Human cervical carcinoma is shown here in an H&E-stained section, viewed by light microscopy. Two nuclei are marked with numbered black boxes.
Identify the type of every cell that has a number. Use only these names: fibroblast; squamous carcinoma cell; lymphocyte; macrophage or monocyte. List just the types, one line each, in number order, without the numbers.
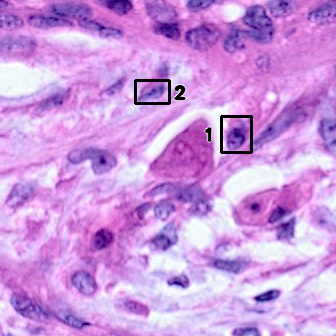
macrophage or monocyte
fibroblast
